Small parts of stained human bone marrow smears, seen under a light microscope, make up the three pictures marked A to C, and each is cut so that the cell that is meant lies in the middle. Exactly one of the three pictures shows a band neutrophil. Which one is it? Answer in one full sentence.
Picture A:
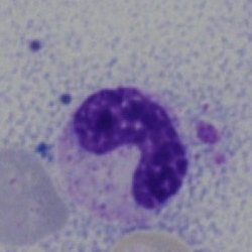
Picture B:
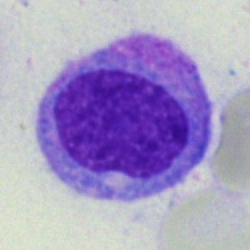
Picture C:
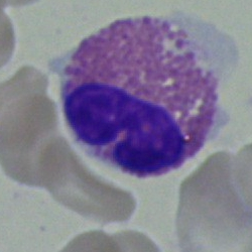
The cell in picture A is the band neutrophil.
